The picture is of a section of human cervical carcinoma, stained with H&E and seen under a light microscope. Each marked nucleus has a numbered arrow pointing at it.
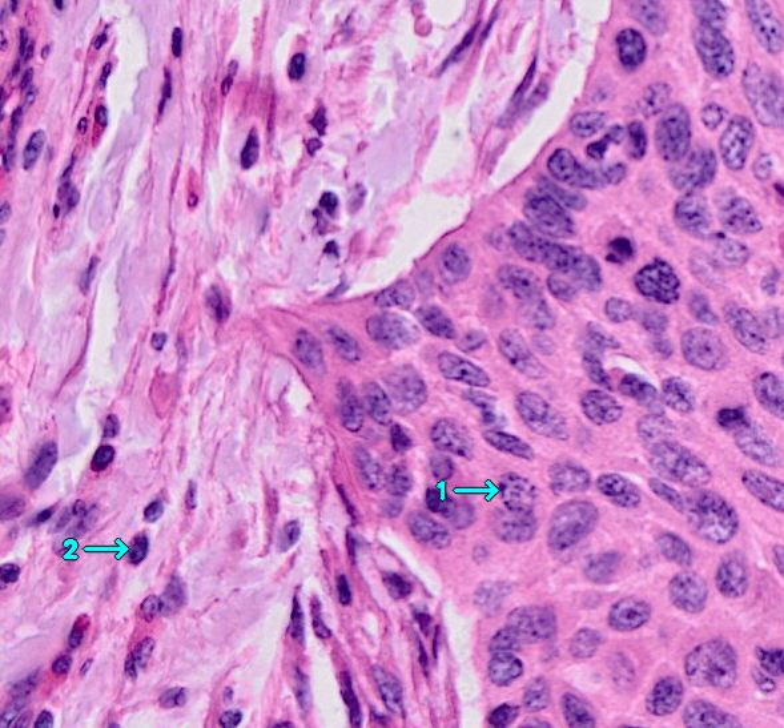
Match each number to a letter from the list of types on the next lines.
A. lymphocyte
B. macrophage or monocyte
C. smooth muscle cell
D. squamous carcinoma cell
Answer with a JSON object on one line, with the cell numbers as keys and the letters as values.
{"1": "D", "2": "A"}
